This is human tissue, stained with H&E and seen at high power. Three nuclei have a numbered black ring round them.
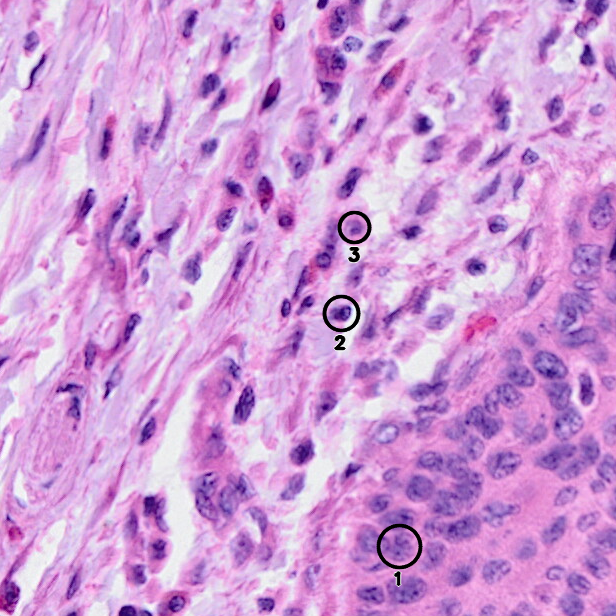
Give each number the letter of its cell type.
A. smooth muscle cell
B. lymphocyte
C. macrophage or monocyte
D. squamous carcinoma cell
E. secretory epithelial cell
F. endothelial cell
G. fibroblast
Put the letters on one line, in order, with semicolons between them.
D; B; C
